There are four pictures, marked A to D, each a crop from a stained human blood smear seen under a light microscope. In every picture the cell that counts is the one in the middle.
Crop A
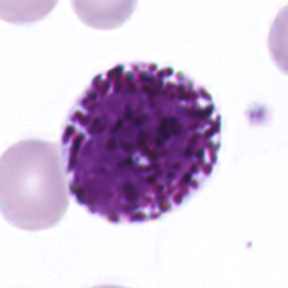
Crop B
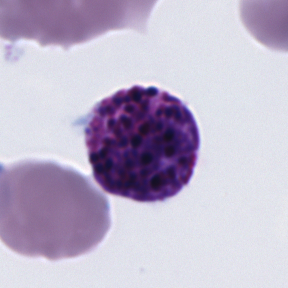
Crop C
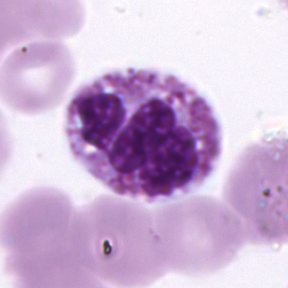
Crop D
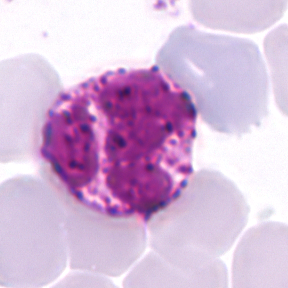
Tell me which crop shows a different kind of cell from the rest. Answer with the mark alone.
C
